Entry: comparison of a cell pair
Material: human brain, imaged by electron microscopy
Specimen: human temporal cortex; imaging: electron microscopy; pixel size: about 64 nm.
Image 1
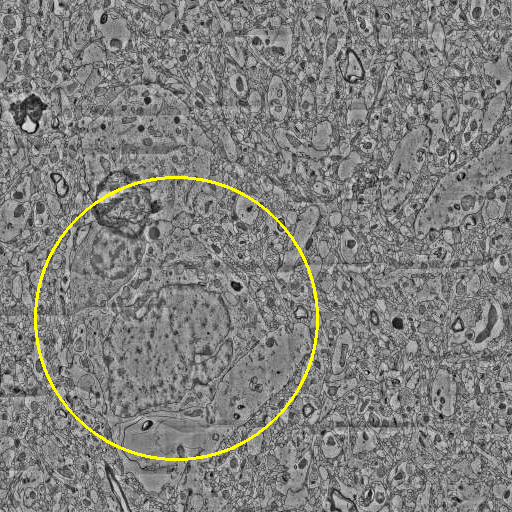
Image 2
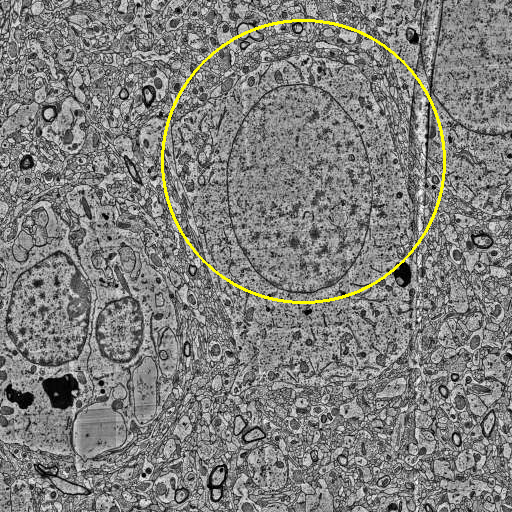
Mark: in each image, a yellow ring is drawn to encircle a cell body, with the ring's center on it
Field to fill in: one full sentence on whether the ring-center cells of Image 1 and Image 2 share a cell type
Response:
No, Image 1 and Image 2 show ring-center cells of two separate types.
